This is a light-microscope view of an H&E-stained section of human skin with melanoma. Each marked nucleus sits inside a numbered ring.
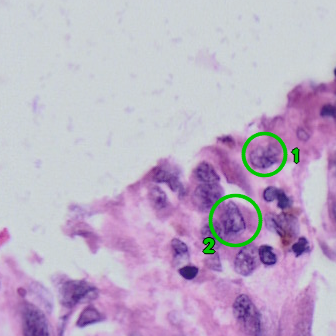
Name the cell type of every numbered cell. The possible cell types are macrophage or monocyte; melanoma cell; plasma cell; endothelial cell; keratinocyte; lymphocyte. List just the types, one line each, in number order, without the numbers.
macrophage or monocyte
melanoma cell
